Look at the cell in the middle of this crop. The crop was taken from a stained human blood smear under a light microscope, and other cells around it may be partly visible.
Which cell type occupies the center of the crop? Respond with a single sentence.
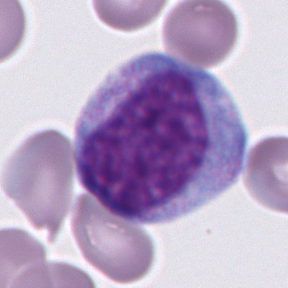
The central cell in this smear crop is a promyelocyte.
